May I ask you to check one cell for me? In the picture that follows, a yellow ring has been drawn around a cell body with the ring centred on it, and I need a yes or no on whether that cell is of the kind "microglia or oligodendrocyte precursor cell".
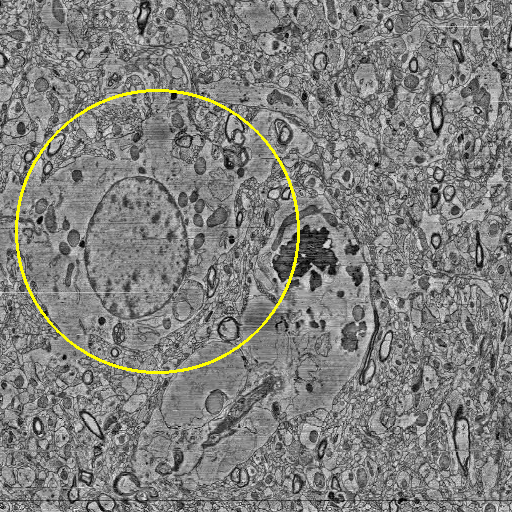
No, it is some other kind of cell.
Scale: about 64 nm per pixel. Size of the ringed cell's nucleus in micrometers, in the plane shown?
Approximately 9 by 7 micrometers in this plane.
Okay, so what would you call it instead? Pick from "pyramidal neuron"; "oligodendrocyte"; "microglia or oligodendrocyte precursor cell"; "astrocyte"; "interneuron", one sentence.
The cell in the ring is an astrocyte instead.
